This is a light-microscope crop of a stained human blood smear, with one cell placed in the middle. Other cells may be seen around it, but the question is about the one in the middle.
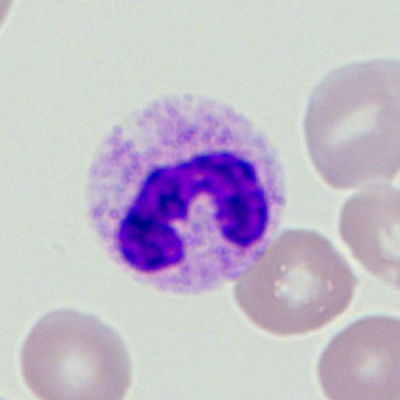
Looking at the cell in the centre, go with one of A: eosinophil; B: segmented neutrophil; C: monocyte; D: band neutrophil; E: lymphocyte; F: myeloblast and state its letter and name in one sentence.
Option D is the right one, for the cell in the middle is a band neutrophil.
